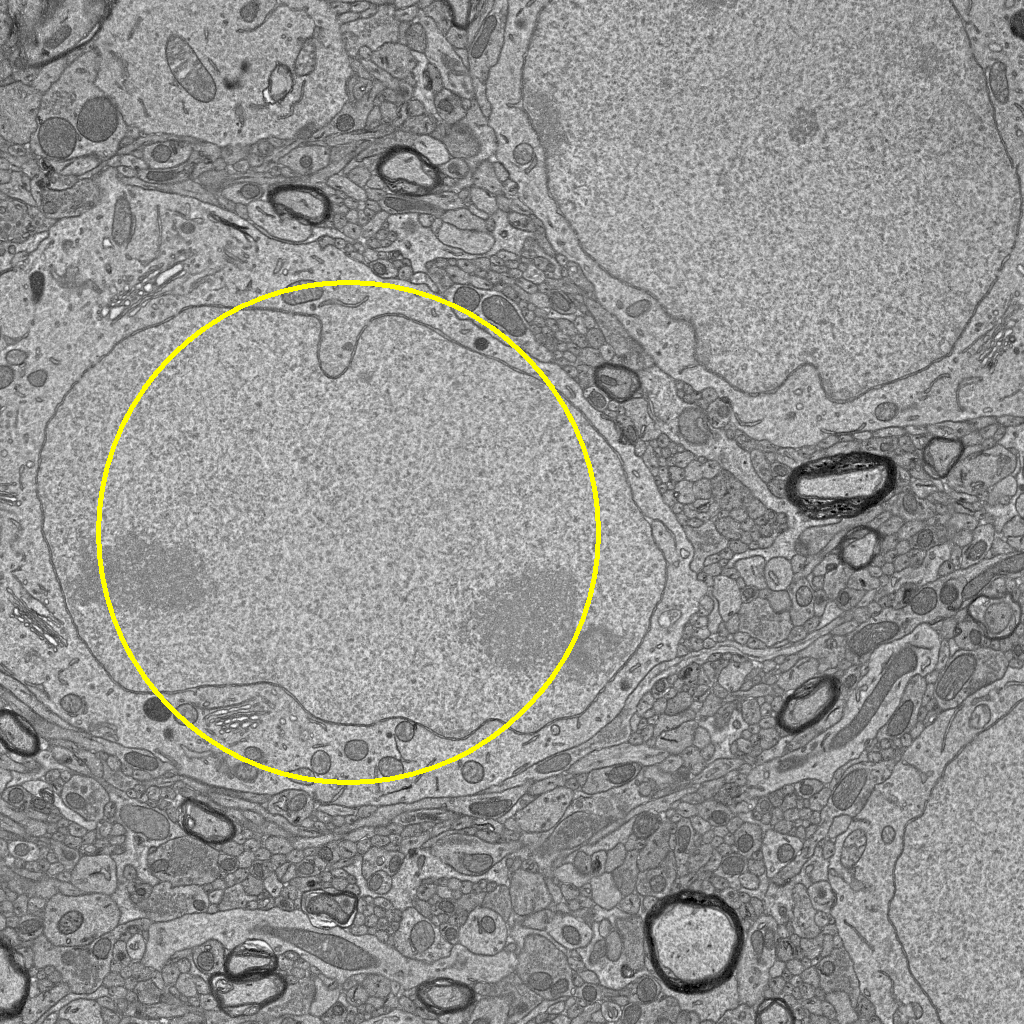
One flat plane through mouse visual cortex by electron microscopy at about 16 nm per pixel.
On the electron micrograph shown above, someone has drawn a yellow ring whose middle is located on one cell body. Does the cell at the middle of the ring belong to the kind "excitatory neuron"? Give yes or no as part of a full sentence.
Yes, the cell located at the middle of the ring in the micrograph is of that kind.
